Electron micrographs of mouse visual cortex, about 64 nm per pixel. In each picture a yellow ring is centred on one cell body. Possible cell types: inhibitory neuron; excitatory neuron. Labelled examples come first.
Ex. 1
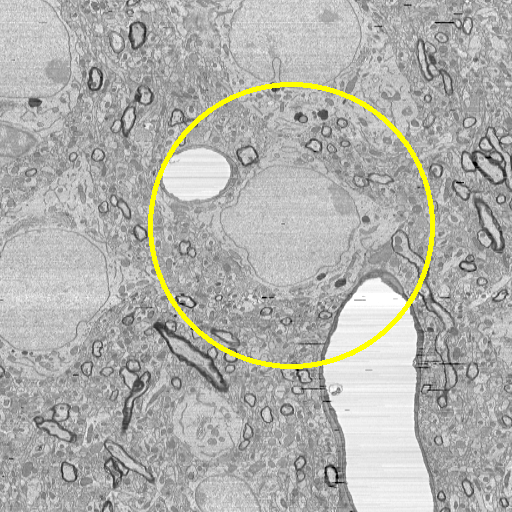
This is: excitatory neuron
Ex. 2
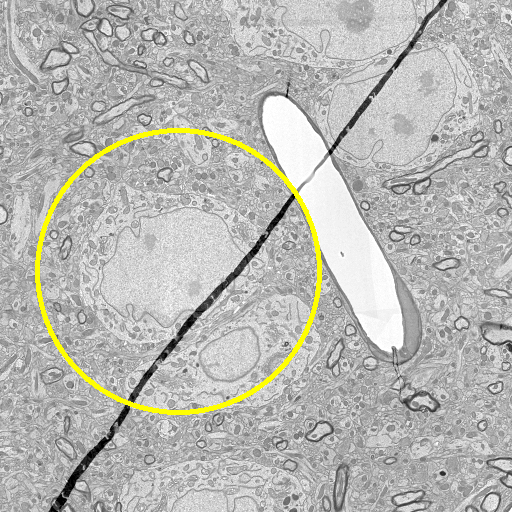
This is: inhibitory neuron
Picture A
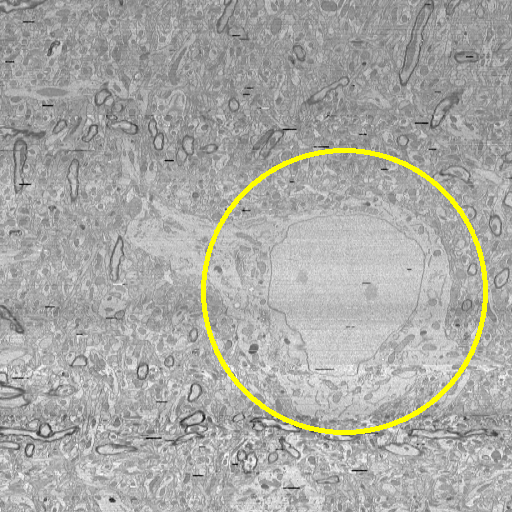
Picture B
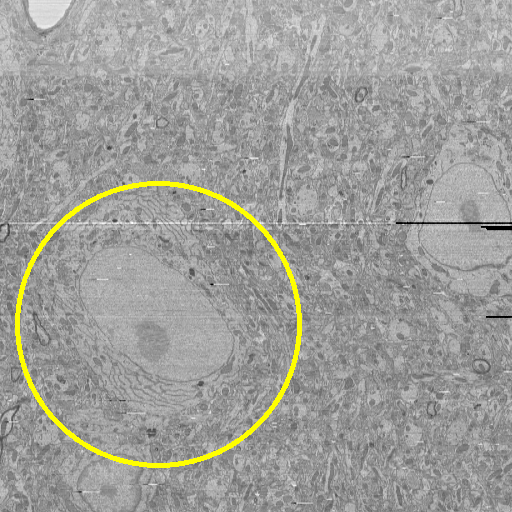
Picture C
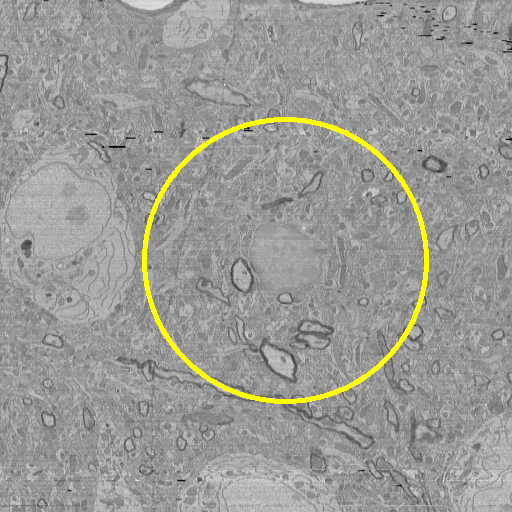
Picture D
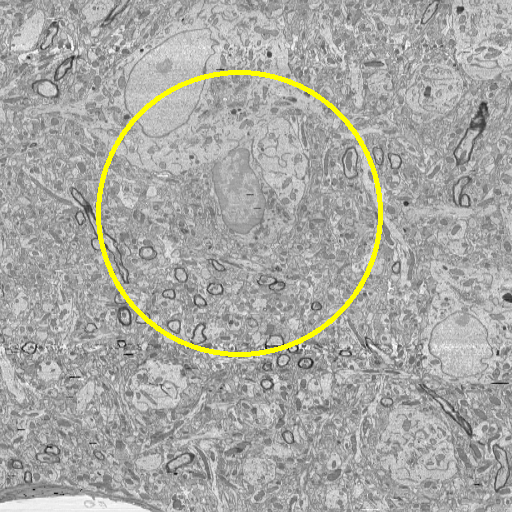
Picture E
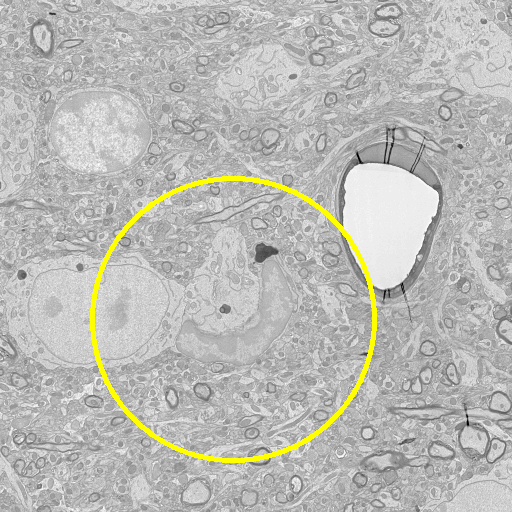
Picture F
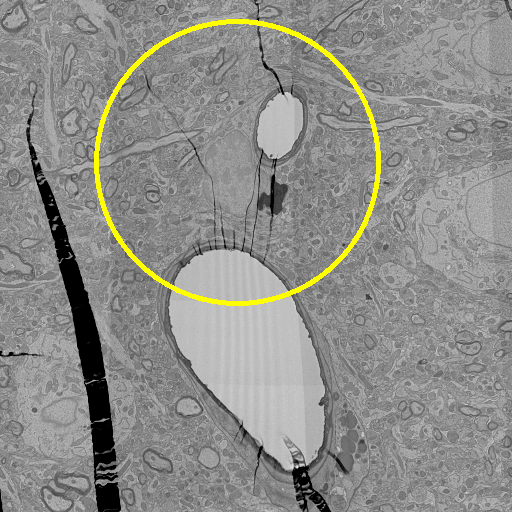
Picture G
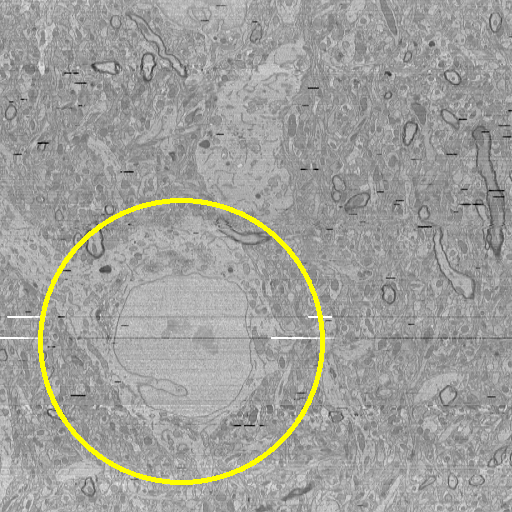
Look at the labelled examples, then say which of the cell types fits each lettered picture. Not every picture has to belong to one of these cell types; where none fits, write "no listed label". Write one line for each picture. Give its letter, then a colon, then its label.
A: excitatory neuron
B: excitatory neuron
C: no listed label
D: no listed label
E: no listed label
F: no listed label
G: excitatory neuron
